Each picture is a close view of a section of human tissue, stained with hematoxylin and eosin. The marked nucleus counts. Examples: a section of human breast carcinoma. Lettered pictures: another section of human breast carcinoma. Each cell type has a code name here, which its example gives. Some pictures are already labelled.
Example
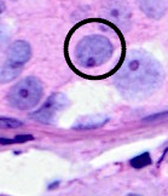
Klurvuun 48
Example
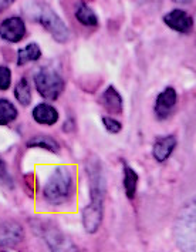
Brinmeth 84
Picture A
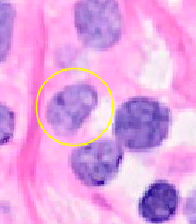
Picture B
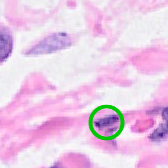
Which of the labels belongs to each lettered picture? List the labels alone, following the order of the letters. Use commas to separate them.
Klurvuun 48, Brinmeth 84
